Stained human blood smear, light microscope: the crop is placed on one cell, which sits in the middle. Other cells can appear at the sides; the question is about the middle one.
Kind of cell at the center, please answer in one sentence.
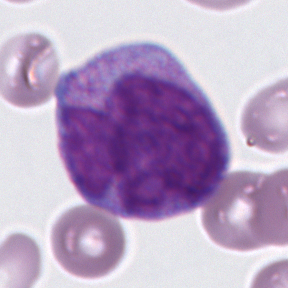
In the middle of this smear crop, the cell is an atypical promyelocyte.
